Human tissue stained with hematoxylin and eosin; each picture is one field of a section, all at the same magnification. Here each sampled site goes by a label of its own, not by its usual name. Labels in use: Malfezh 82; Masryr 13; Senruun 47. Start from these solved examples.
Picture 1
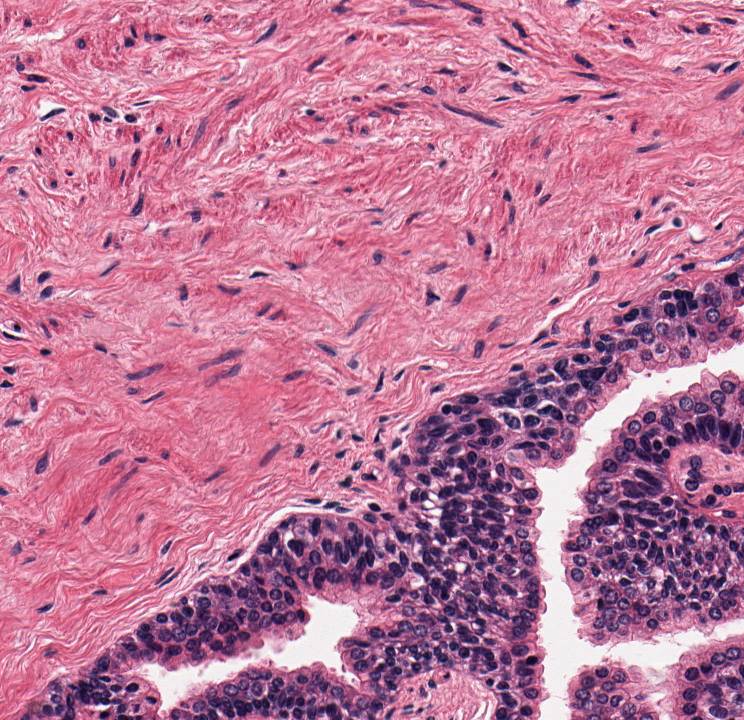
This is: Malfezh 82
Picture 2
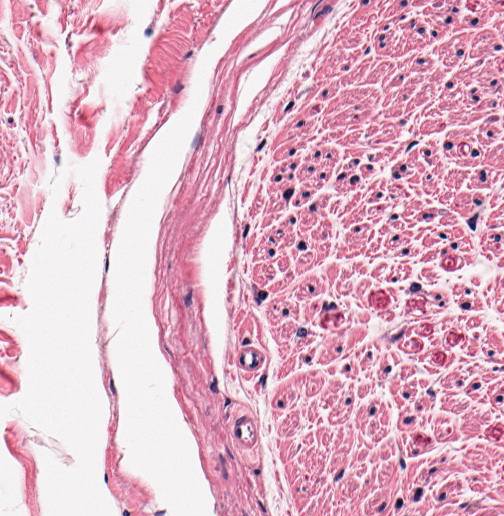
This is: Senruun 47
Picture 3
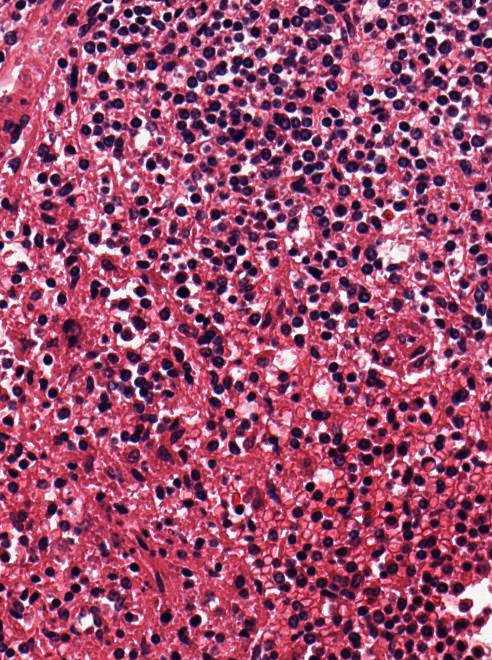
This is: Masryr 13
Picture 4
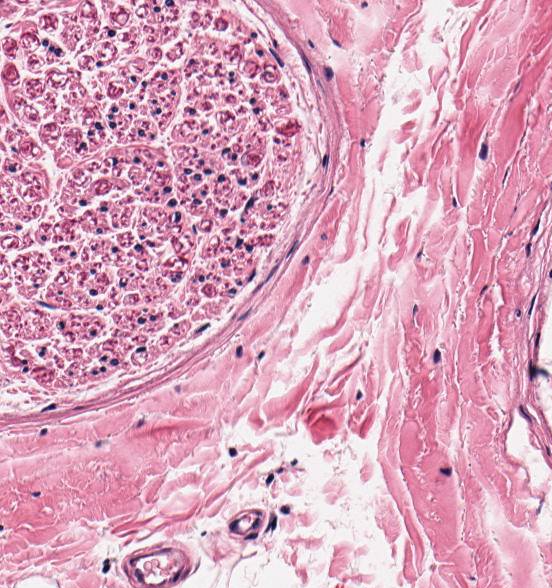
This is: Senruun 47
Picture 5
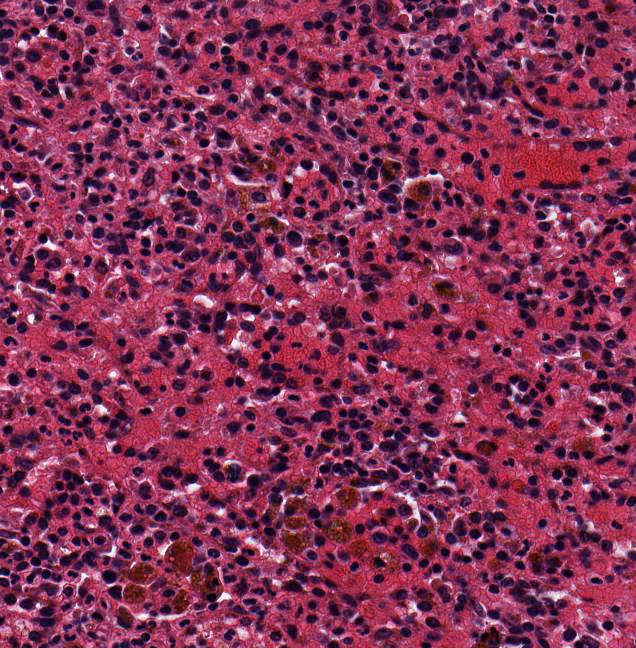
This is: Masryr 13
